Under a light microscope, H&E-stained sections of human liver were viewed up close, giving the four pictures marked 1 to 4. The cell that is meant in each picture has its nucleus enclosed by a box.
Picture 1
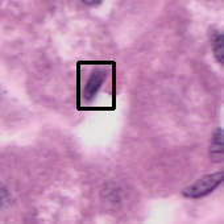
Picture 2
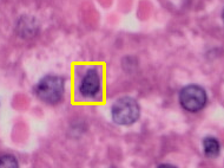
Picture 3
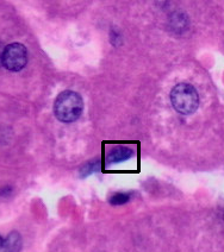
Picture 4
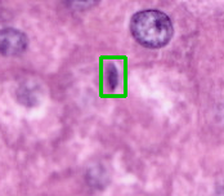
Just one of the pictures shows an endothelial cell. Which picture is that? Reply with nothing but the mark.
4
